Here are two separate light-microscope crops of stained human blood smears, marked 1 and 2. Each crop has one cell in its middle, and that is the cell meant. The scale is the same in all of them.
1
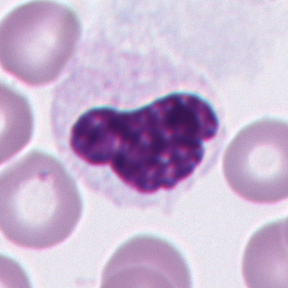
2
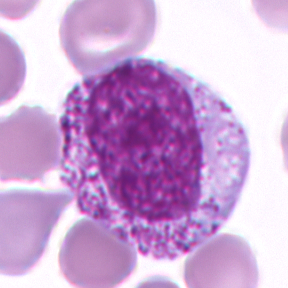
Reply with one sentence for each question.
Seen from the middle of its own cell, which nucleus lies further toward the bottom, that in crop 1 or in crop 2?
The nucleus in crop 1 lies further toward the bottom of its cell.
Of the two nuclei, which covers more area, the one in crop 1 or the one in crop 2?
Larger is the nucleus in crop 2, at roughly 1.5 times the area of the other.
